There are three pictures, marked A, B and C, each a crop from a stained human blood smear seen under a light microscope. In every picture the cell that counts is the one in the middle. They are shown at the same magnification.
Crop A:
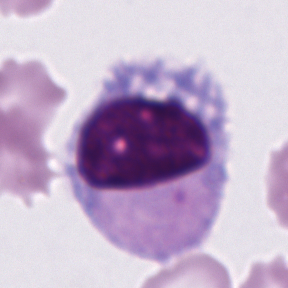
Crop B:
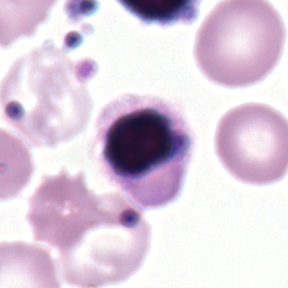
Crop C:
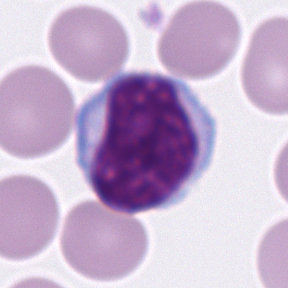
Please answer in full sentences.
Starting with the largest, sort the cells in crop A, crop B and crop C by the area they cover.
From the largest down, the order is A, C, B.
